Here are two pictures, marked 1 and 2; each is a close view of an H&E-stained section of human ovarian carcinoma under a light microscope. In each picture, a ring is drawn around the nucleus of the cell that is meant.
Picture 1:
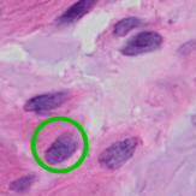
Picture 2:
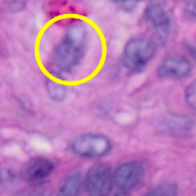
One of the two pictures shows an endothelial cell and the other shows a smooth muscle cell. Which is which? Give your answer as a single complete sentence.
It is picture 1 that shows a smooth muscle cell, and picture 2 that shows an endothelial cell.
